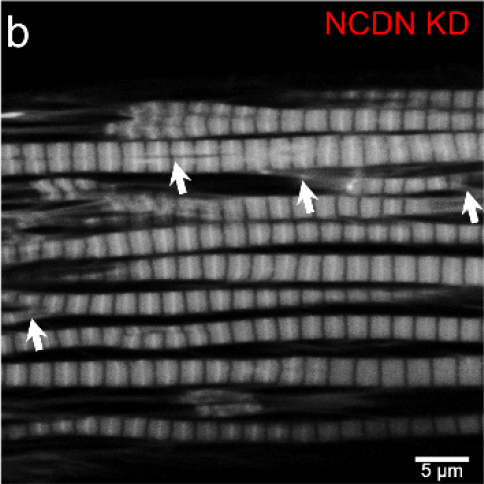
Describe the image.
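This longitudinal section of flight muscle shows banded myofibrils that are less orderly than usual. The myofibrils still show repeating light and dark bands, but they vary in width. Thin strands run obliquely between them and join one myofibril to the next.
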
